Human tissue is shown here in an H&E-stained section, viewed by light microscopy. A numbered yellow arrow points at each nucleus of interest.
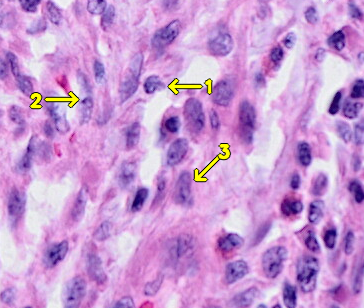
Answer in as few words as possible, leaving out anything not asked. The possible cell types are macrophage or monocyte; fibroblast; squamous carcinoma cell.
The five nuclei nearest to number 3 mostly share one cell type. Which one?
fibroblast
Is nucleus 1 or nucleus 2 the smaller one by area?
1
